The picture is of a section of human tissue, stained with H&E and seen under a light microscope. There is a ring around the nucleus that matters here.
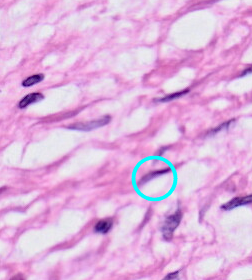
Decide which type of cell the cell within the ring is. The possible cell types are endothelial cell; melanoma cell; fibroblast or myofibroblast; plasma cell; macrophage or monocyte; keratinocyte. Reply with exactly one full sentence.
Microscopically, the cell within the ring is categorized as a fibroblast or myofibroblast.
